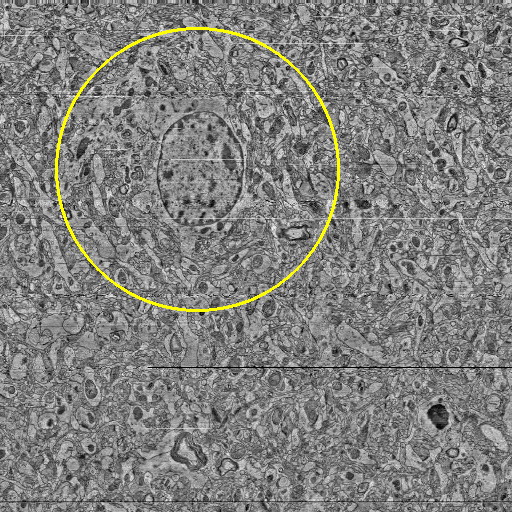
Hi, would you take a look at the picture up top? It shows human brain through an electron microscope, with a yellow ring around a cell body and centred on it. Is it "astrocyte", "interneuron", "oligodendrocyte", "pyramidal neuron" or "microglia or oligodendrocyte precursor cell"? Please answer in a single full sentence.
The best fit for the cell in the middle of the ring is an astrocyte, I reckon.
